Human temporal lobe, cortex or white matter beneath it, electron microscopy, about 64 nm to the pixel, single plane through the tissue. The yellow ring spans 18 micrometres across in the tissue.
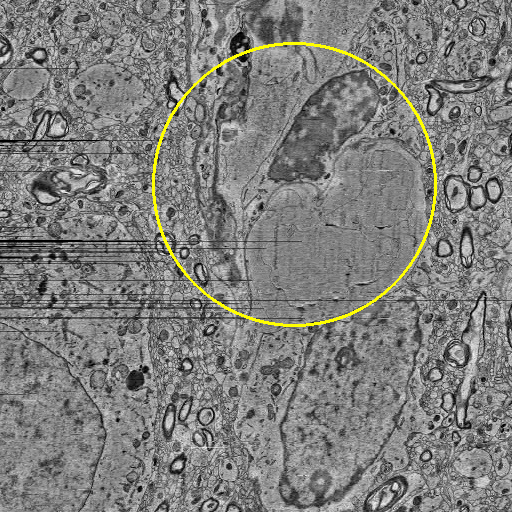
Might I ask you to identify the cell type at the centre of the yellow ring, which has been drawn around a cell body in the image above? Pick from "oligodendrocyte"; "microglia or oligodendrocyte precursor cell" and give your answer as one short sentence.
The centre of the ring falls on a microglial cell or oligodendrocyte precursor cell.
